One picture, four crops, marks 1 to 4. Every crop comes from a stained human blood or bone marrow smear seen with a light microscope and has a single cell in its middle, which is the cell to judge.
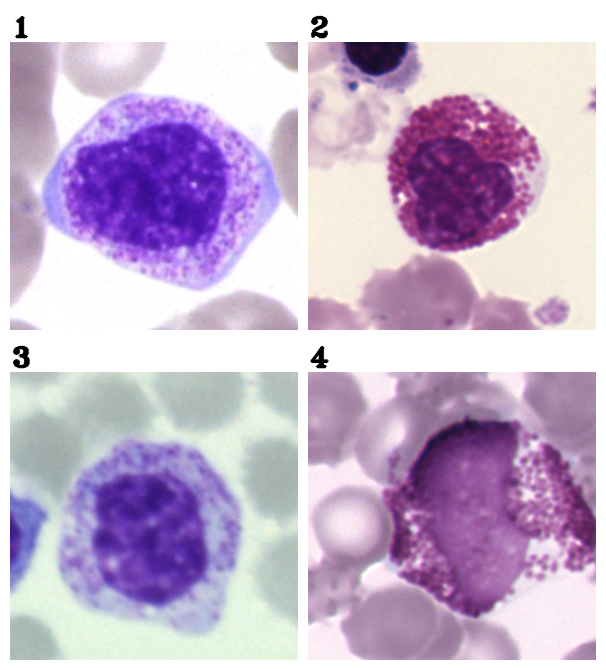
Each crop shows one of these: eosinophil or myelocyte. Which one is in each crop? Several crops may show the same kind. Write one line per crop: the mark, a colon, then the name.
1: myelocyte
2: eosinophil
3: myelocyte
4: eosinophil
